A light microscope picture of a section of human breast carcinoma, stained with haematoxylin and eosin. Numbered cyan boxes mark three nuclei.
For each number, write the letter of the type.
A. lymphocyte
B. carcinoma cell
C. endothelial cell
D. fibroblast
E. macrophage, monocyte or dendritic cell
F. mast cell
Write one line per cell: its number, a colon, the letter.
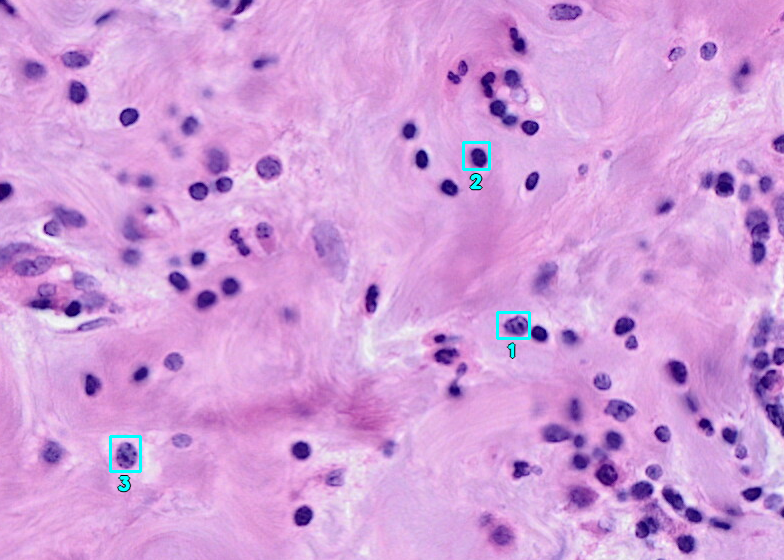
1: A
2: A
3: F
